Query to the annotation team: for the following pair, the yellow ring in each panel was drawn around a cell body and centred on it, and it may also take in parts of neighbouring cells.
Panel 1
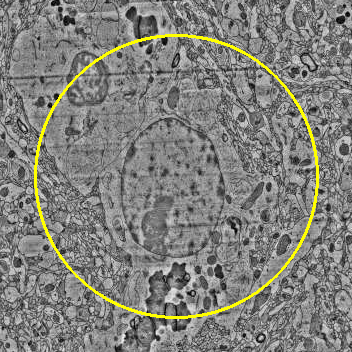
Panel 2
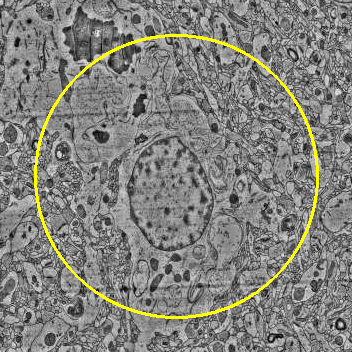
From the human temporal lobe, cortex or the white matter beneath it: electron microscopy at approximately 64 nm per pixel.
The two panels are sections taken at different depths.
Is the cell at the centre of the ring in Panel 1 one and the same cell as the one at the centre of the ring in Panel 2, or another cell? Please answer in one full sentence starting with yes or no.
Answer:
Yes, the same cell has been marked in both yellow rings.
